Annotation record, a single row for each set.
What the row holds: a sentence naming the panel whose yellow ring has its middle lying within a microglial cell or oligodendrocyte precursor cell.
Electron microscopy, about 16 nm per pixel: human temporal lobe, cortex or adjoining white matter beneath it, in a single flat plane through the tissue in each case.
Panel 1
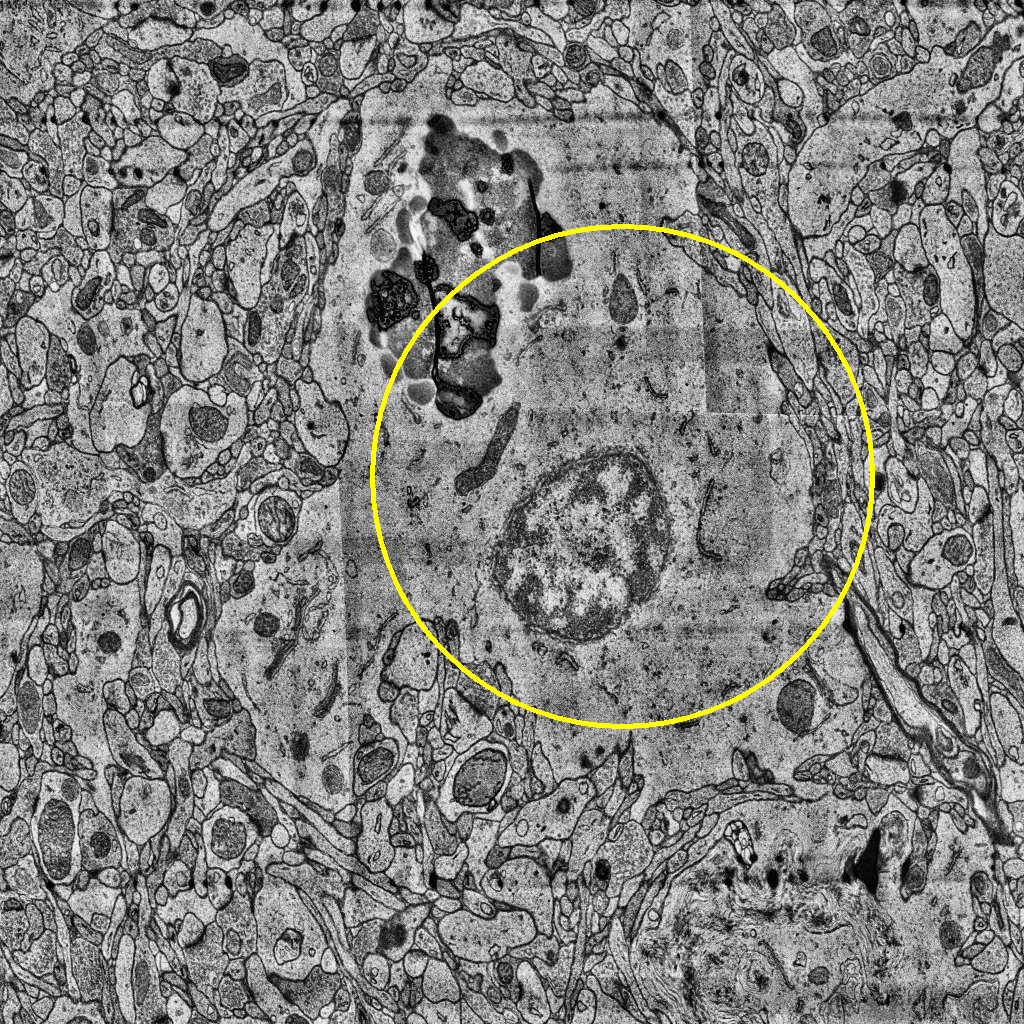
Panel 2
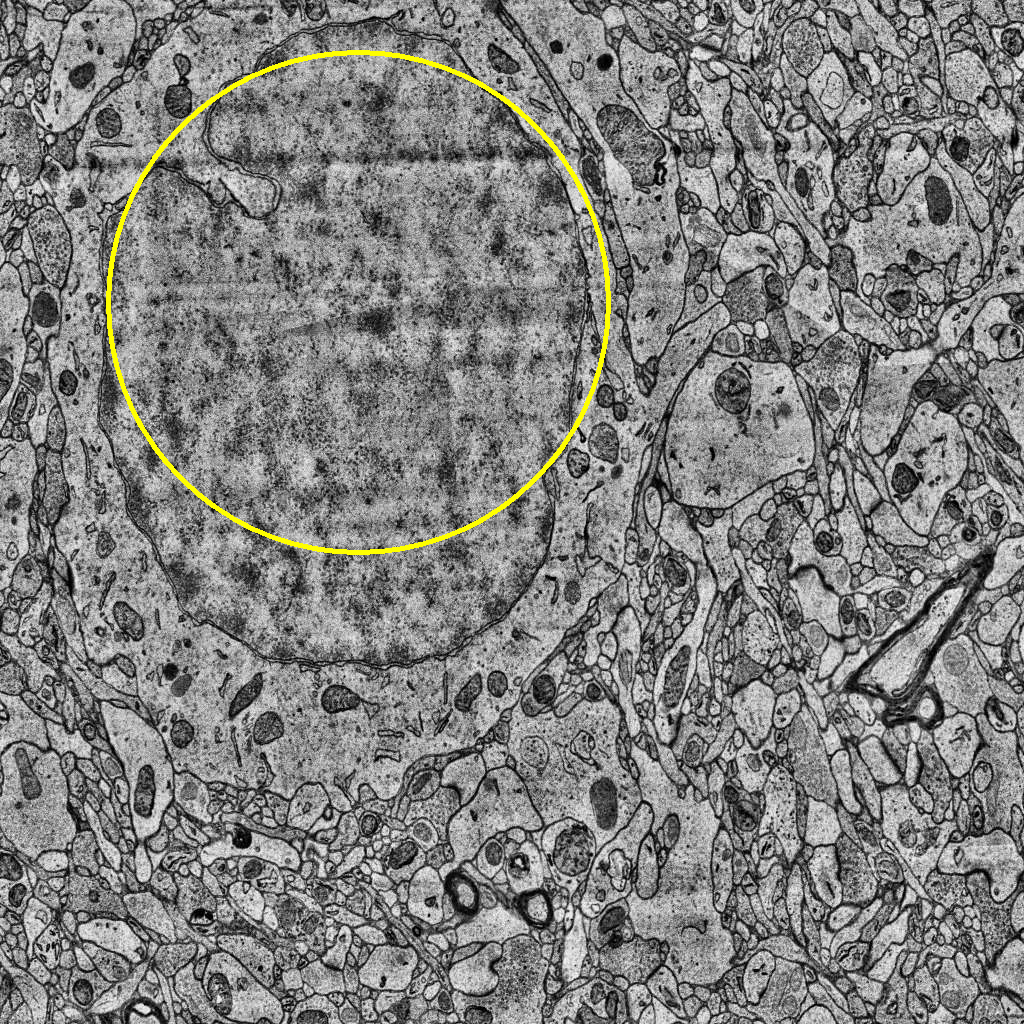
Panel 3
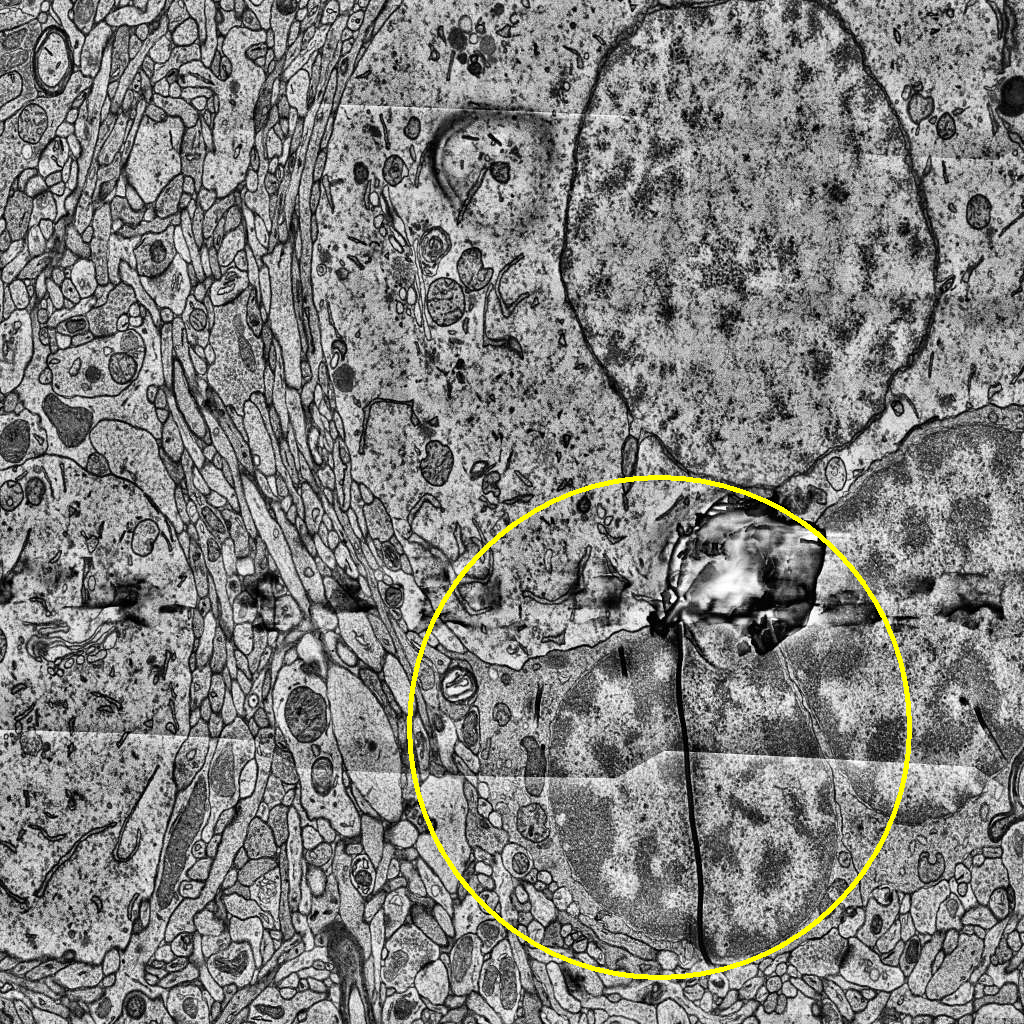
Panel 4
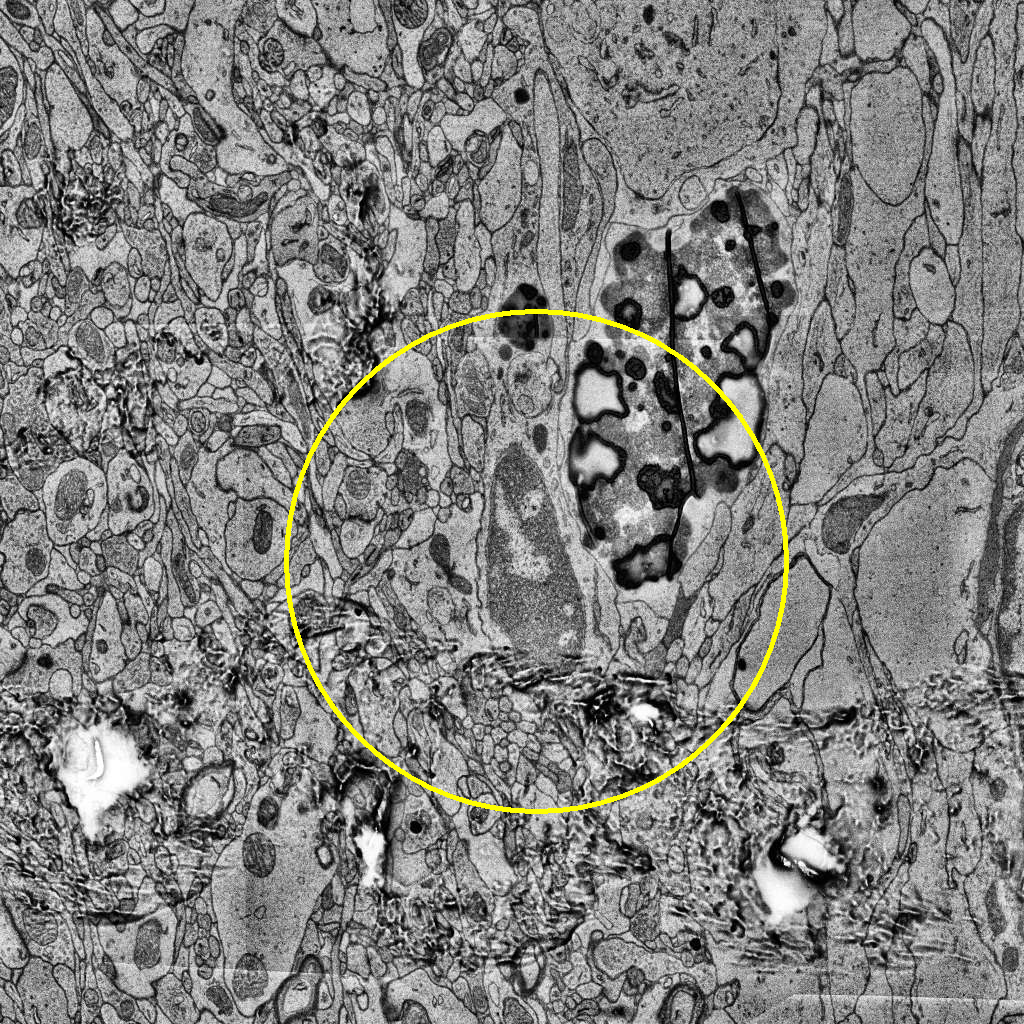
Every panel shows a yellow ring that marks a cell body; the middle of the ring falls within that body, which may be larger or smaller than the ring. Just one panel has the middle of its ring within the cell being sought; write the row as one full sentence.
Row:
In panel 4, the middle of the yellow ring lies within the cell that is sought.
